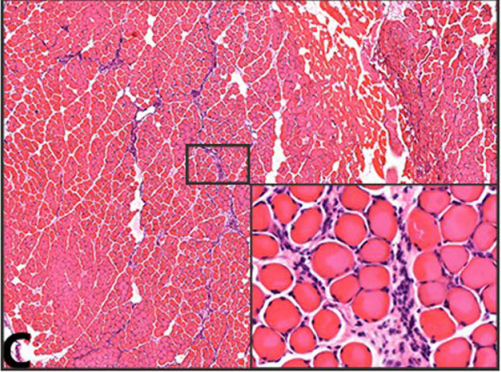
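This is skeletal muscle in cross-section with rounded, pink muscle fibers separated by widened spaces. Between the fibers lie dense bands of small, dark purple nuclei of infiltrating inflammatory cells, seen most clearly in the enlarged inset.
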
